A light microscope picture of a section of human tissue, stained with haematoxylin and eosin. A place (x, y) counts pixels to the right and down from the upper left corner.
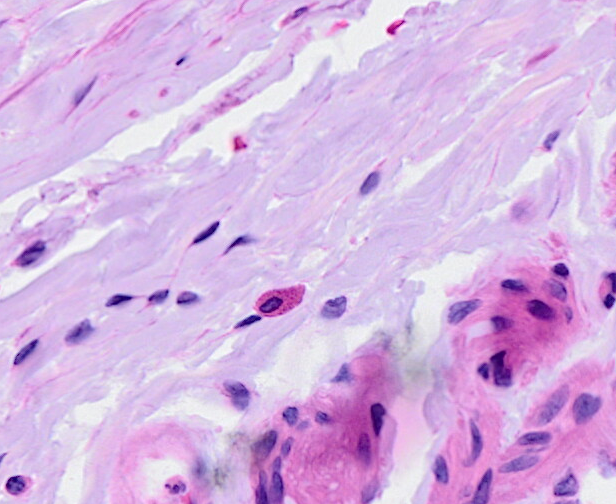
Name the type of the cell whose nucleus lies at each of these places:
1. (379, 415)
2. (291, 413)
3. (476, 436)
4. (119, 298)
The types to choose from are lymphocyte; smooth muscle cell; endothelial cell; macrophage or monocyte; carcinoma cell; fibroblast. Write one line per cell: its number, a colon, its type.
1: smooth muscle cell
2: smooth muscle cell
3: smooth muscle cell
4: fibroblast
